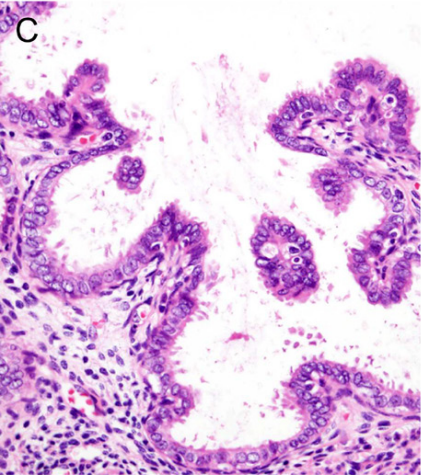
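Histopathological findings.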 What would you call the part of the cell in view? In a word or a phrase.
apical cytoplasmic snouts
